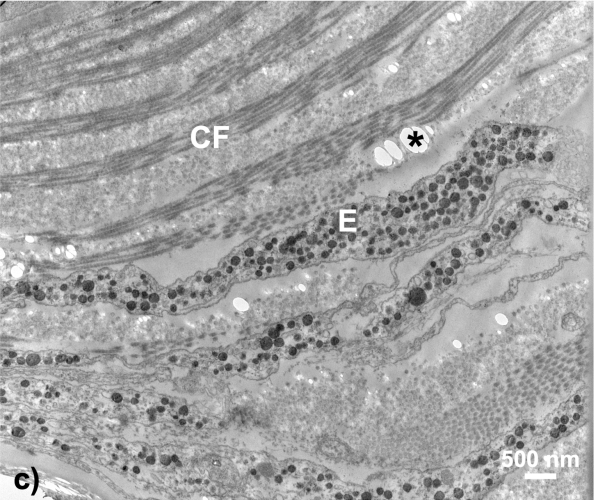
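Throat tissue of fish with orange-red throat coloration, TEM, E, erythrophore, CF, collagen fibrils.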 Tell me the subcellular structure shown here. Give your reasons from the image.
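Cytoplasmic extensions. Long, thin, membrane-bound cell processes run parallel between bundles of fibrils. The processes are packed with round granules in shades from grey to black.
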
